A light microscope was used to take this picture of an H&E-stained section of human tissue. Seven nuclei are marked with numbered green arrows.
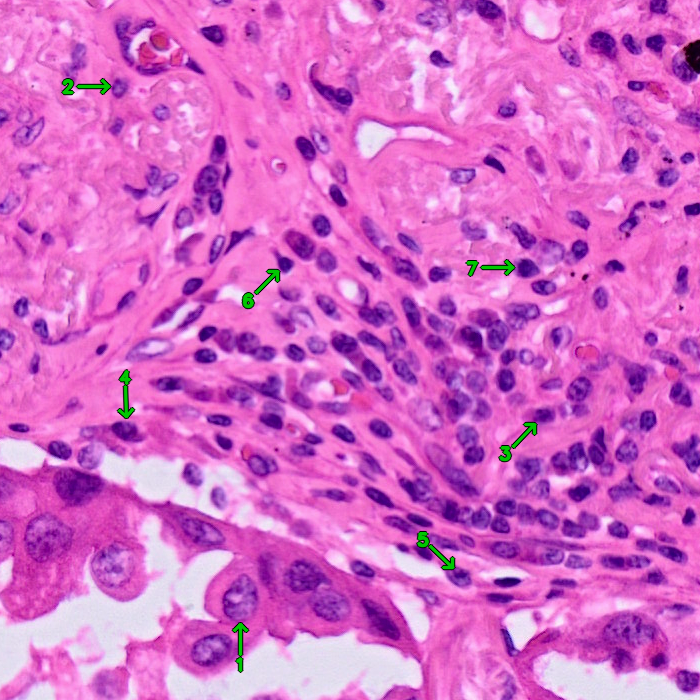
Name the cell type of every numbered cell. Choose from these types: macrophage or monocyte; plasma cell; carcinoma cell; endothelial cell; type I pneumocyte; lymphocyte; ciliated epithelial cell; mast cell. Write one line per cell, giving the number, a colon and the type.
1: carcinoma cell
2: mast cell
3: plasma cell
4: plasma cell
5: lymphocyte
6: lymphocyte
7: lymphocyte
